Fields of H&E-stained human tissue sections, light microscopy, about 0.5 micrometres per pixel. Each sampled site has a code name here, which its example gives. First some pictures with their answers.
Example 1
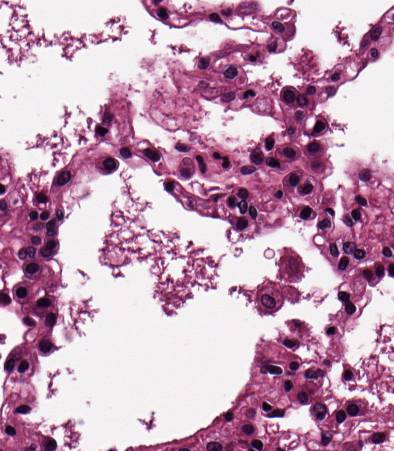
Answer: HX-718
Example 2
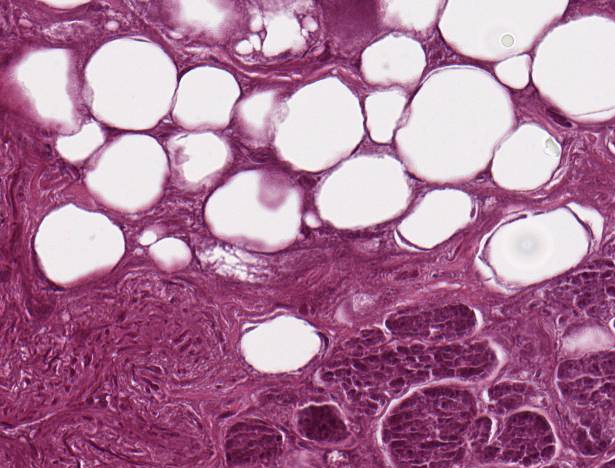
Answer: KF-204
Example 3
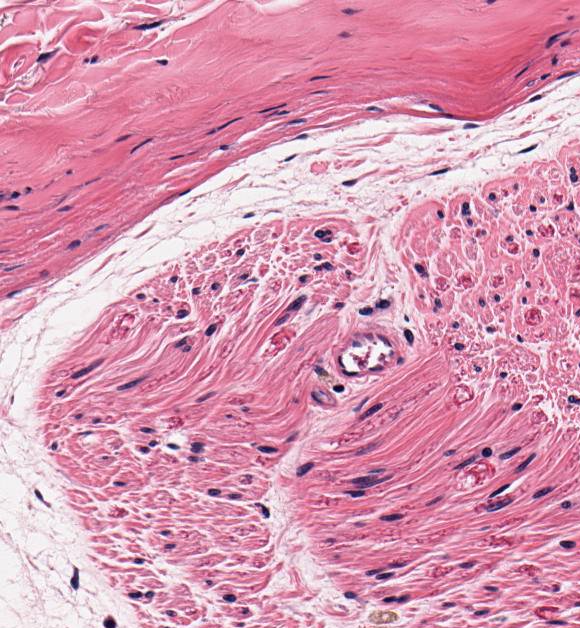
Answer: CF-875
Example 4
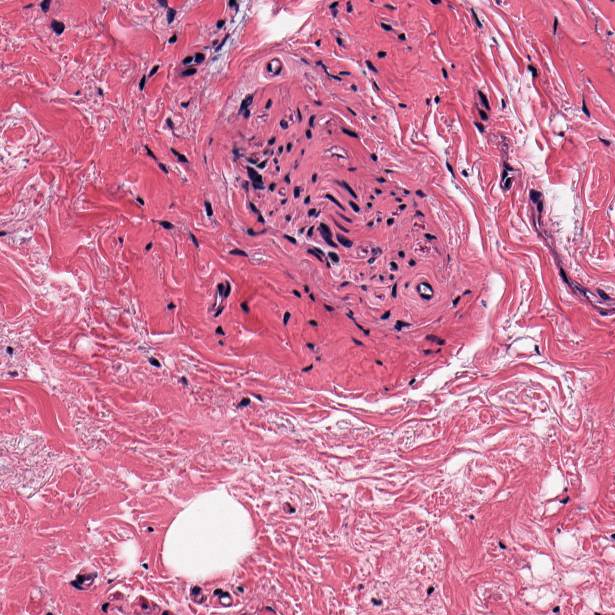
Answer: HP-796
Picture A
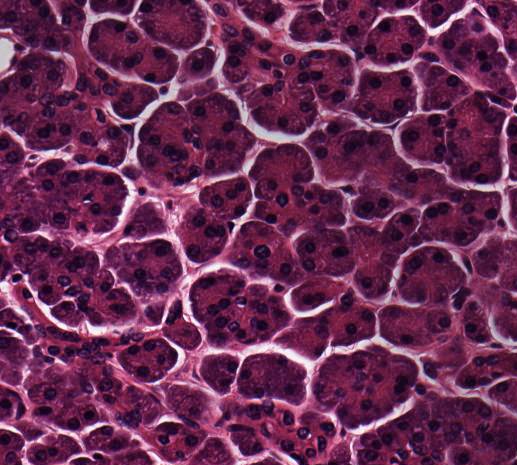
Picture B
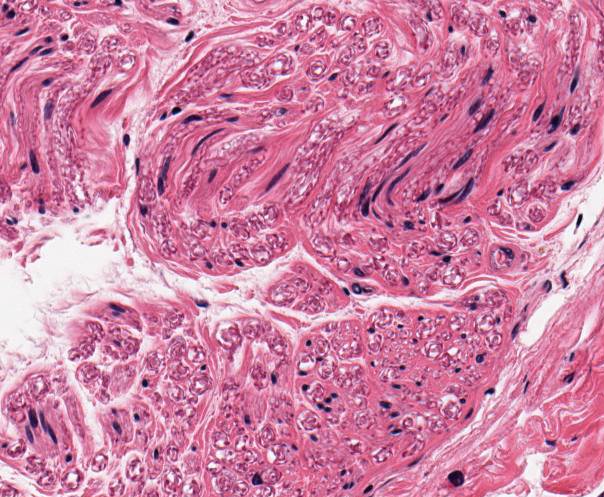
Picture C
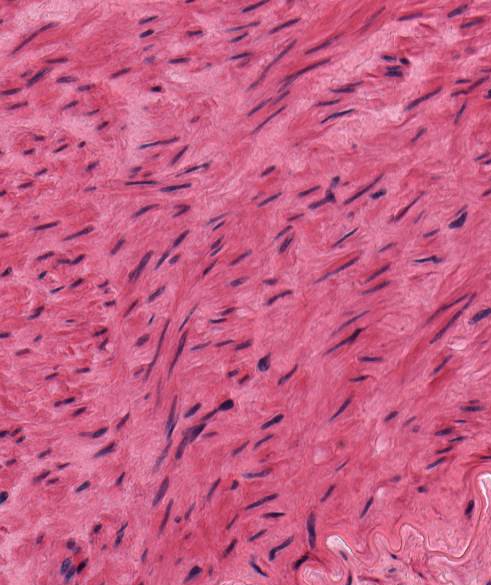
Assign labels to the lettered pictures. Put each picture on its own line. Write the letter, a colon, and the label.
A: KF-204
B: CF-875
C: HP-796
